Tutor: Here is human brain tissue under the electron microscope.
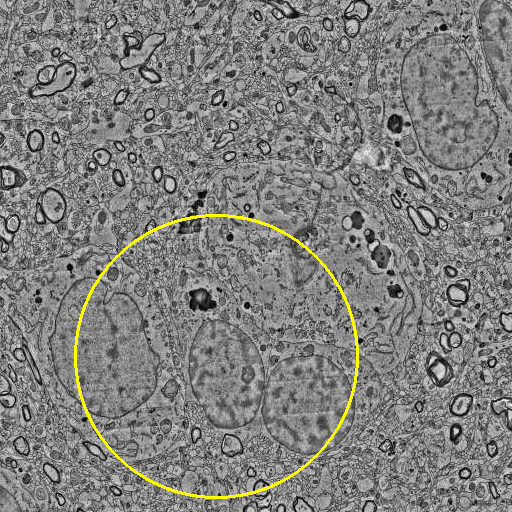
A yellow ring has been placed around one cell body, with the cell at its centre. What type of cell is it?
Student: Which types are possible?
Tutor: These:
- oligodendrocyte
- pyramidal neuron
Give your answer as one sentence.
What the ring picks out here is an oligodendrocyte.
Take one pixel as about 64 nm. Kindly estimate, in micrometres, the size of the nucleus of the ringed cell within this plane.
Approximately 7 micrometres long and 5 micrometres wide, in this plane.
